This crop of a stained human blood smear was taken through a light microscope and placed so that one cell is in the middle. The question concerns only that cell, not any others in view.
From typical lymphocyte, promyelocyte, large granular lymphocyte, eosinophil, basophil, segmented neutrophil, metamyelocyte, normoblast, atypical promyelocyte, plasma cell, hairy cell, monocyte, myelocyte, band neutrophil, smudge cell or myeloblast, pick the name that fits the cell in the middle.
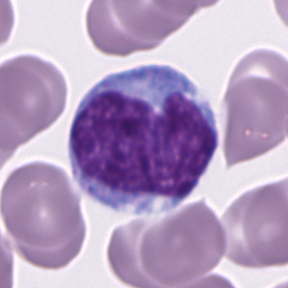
monocyte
